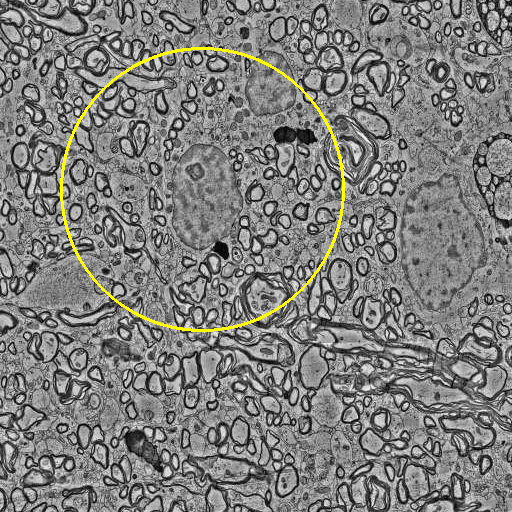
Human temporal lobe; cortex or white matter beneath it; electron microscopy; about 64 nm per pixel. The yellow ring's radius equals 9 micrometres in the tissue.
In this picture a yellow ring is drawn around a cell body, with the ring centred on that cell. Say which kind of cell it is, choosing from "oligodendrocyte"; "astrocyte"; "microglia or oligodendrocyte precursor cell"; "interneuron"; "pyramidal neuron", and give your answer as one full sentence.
Here it is an oligodendrocyte that sits at the centre of the drawn yellow ring.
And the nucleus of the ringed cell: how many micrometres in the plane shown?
The nucleus measures about 7 by 5 micrometres in this plane.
